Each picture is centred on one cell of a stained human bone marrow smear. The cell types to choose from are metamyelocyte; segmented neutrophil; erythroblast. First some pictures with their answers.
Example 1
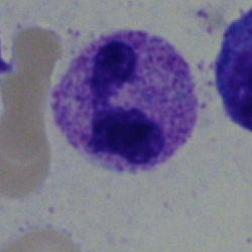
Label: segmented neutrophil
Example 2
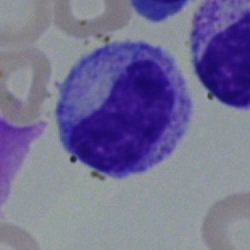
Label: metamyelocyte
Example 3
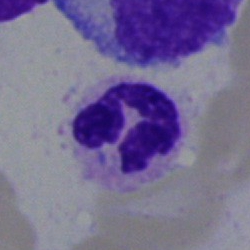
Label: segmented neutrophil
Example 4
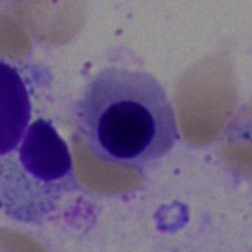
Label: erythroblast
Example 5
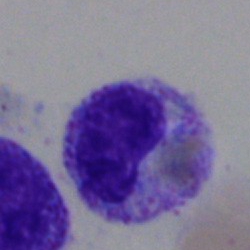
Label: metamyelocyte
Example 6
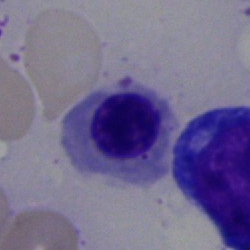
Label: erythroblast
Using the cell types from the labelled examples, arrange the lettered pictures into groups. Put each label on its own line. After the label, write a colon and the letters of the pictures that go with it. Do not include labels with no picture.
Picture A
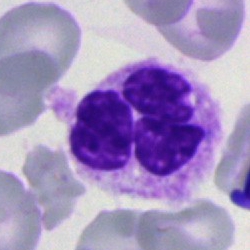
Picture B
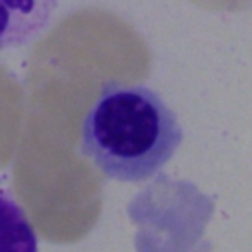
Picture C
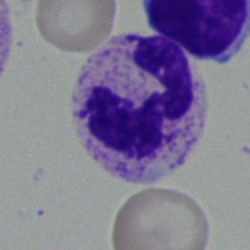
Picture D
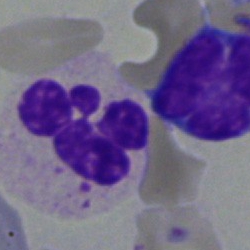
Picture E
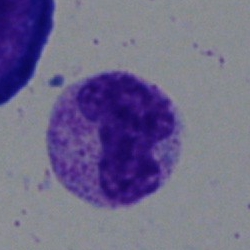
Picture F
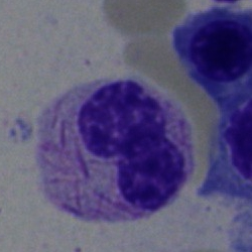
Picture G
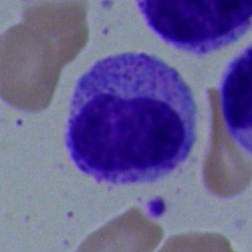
metamyelocyte: E, F, G
segmented neutrophil: A, C, D
erythroblast: B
